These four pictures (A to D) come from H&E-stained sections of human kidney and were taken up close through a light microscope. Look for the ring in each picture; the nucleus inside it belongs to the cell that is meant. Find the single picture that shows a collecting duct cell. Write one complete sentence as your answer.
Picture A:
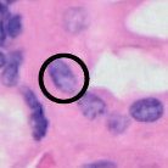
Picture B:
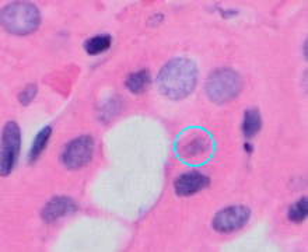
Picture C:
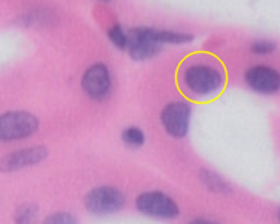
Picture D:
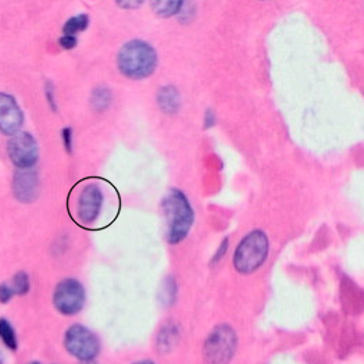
It is picture A that shows the collecting duct cell.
